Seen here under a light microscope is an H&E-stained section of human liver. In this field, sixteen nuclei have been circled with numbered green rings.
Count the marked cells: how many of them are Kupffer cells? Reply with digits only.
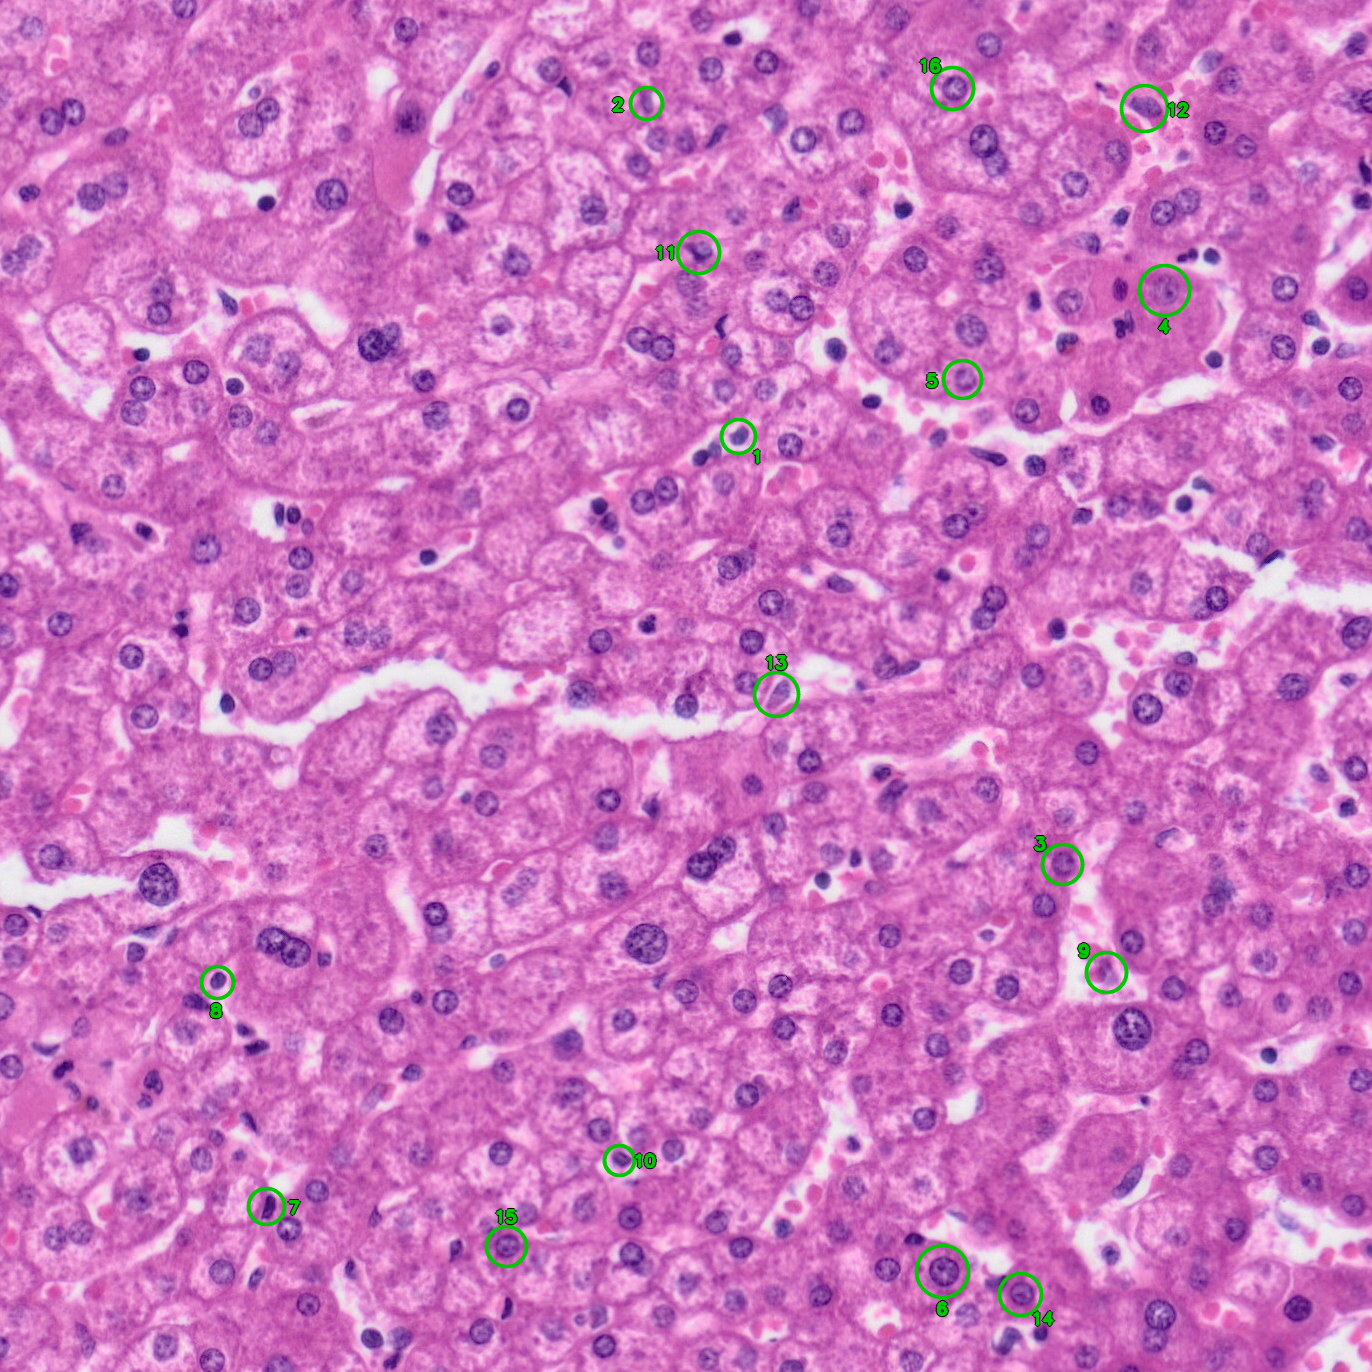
4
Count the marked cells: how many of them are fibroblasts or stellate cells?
1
